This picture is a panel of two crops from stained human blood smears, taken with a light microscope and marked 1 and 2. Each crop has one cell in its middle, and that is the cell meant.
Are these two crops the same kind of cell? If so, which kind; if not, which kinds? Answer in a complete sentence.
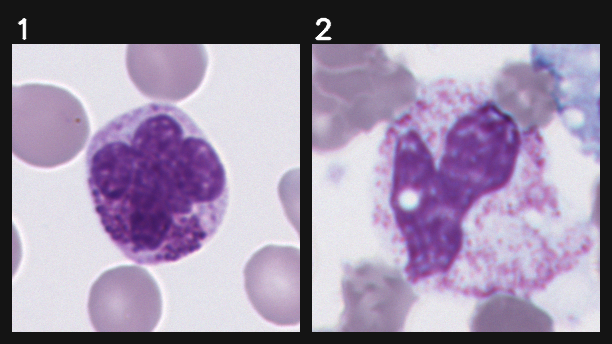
No: a basophil sits in crop 1, and a neutrophil sits in crop 2.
